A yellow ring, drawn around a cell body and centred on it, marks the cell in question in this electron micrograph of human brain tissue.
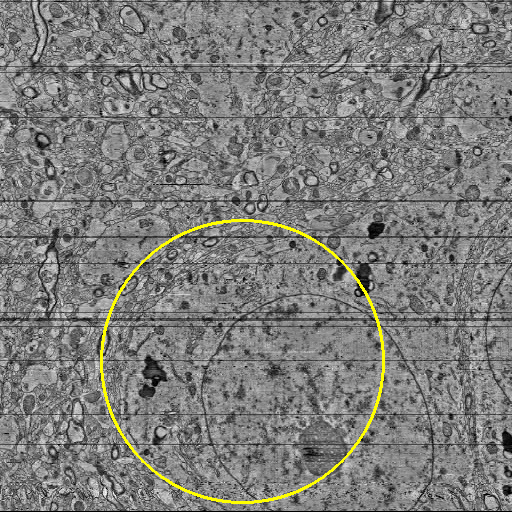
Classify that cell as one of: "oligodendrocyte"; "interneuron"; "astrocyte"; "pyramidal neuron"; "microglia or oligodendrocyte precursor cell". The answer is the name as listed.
pyramidal neuron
